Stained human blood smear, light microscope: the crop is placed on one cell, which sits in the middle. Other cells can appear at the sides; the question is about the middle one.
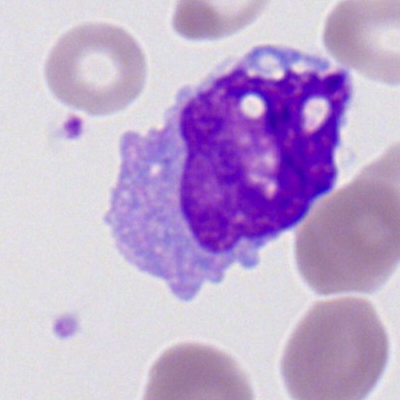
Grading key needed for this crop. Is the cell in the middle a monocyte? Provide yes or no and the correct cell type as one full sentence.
Yes, the central cell is to be recorded as a monocyte.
